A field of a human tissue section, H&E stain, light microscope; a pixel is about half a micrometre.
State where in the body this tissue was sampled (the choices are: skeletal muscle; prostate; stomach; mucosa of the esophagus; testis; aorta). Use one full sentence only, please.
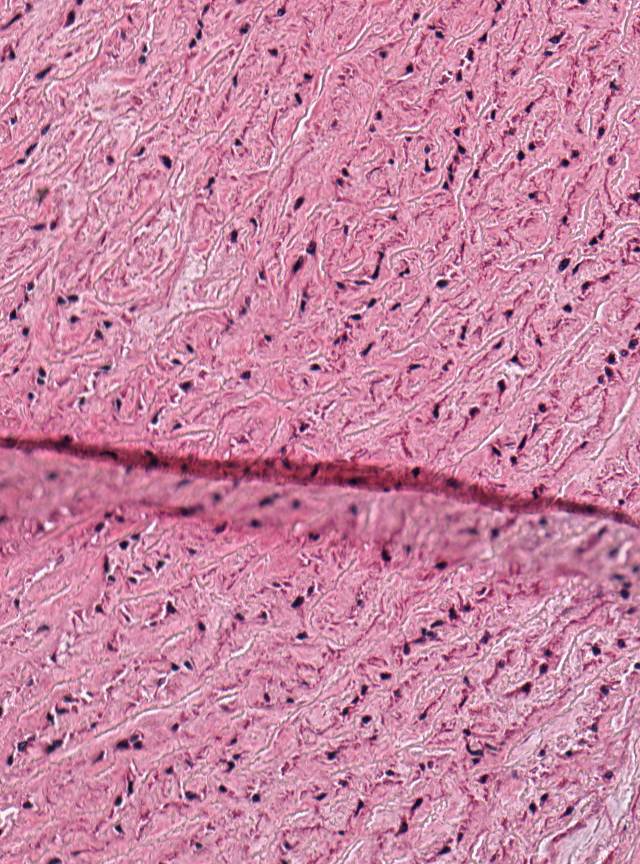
Tissue of the aorta was sampled to make this section.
